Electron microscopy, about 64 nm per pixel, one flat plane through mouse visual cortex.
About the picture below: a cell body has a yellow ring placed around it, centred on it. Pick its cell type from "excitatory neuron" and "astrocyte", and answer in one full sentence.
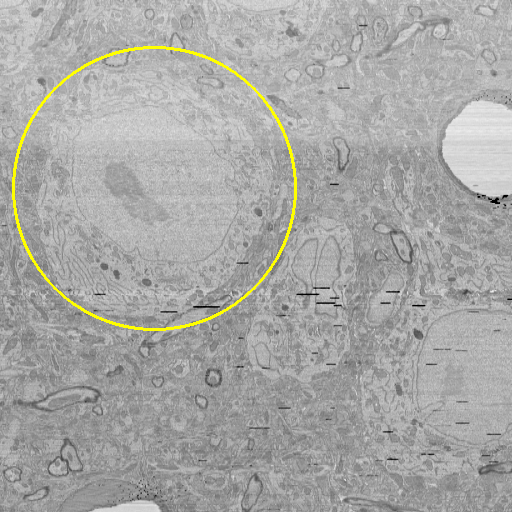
In the picture, an excitatory neuron is the cell sitting at the centre of the yellow ring.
